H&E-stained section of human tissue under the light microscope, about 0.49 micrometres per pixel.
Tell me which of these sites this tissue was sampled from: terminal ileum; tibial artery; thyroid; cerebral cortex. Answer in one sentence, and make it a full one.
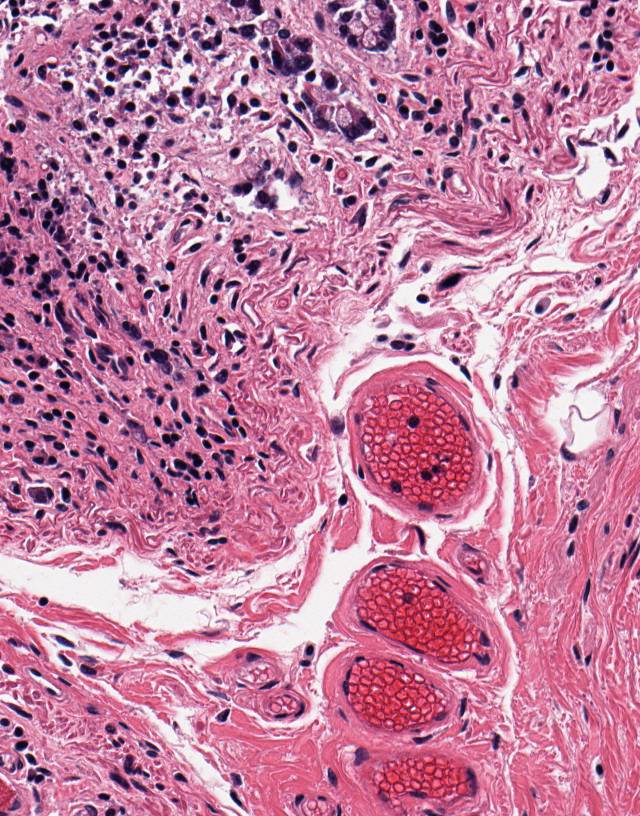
This slide holds tissue sampled from the terminal ileum.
